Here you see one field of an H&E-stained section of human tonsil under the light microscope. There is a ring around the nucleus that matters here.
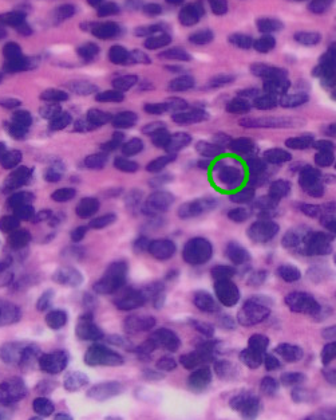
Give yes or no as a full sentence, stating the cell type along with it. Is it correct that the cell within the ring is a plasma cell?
No, the cell within the ring is not a plasma cell, being instead a small lymphocyte.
